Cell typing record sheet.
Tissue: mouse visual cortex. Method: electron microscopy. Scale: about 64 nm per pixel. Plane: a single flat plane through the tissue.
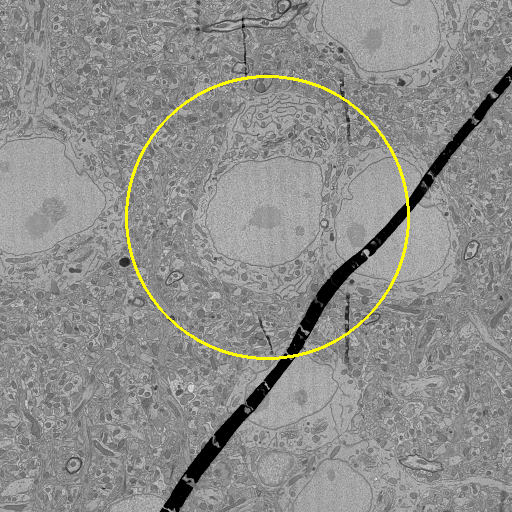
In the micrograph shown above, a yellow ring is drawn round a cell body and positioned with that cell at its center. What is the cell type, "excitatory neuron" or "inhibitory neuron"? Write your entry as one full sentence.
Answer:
The cell body at the center of the ring belongs to an inhibitory neuron.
